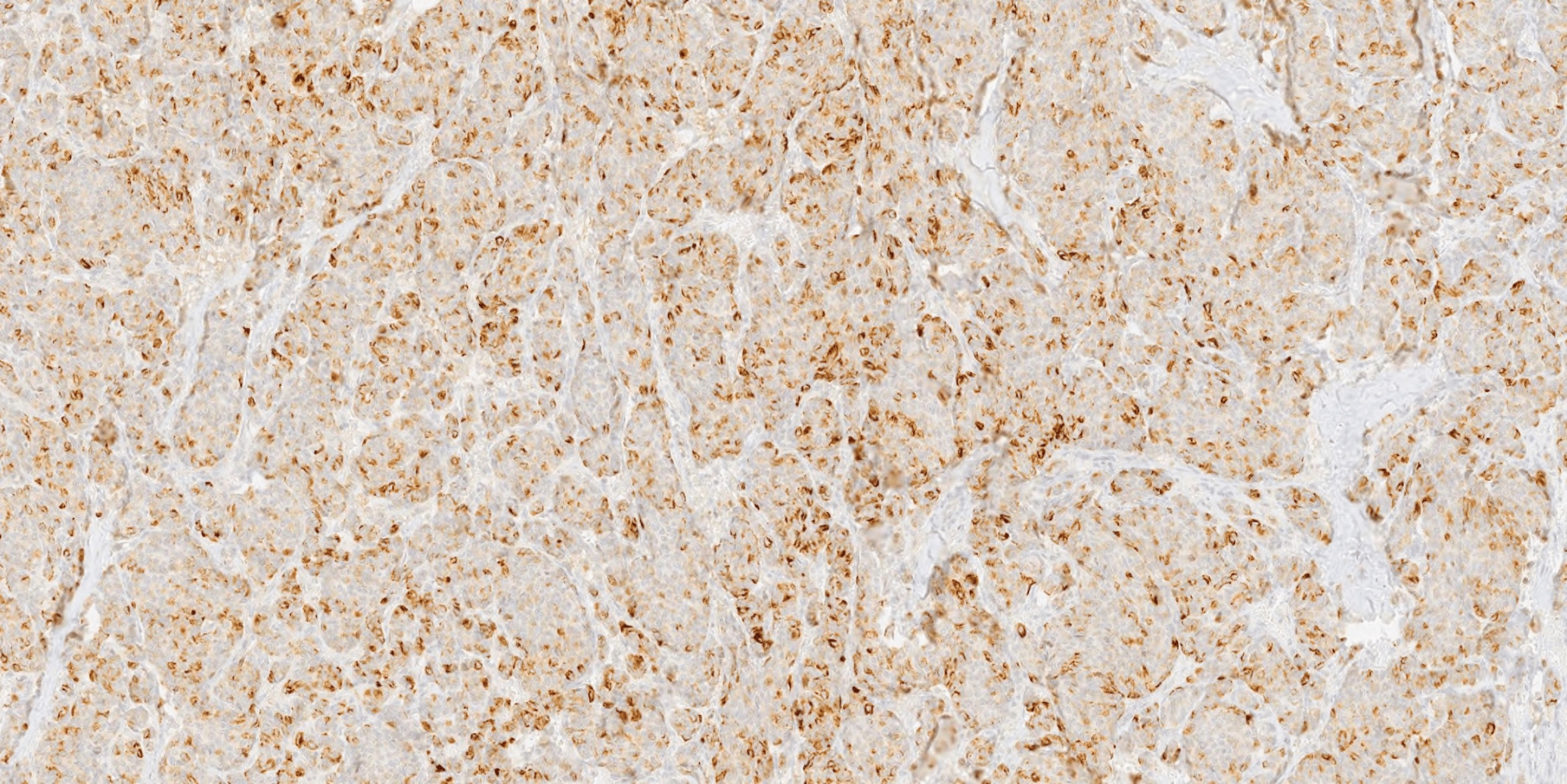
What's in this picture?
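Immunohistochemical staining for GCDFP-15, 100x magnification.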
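The section is filled with solid nests and sheets of closely packed epithelial-looking cells. Thin, pale, branching fibrous septa divide the nests, and a few wider collagenous bands appear toward the upper and right edges. Most of the cells have only a faint tan tint. Single cells and small clusters scattered unevenly through the nests carry a strong dark brown cytoplasmic stain, while their nuclei stay unstained. The stroma is unstained. The uniform crowding and the nested growth point to a carcinoma, and the brown-stained cells are tumor cells showing patchy, focal positivity.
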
